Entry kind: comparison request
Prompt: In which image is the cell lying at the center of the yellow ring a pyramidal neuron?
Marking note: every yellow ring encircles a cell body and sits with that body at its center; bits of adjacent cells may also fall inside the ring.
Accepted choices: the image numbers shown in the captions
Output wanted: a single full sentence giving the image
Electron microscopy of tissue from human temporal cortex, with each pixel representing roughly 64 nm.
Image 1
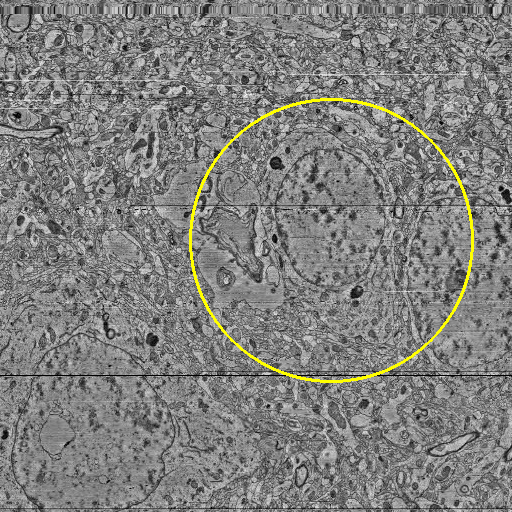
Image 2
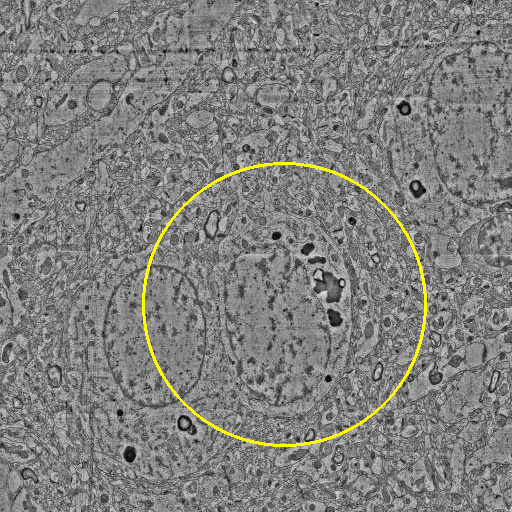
In image 1, the ringed cell at the center matches the prompt.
